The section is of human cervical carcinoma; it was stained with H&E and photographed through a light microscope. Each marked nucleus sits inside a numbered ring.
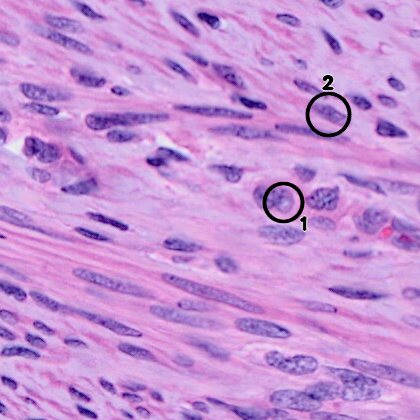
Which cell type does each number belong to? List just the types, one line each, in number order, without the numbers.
endothelial cell
smooth muscle cell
